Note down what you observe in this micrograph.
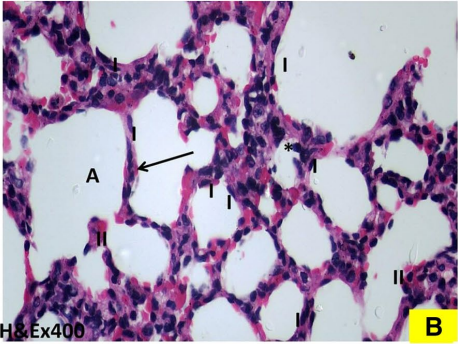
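This is lung tissue at higher power, with open alveoli separated by thin interalveolar septa. In places a septum is thickened by a cluster of small round dark nuclei of mononuclear cells. Red-pink blood cells are seen within the capillaries of the septa.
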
